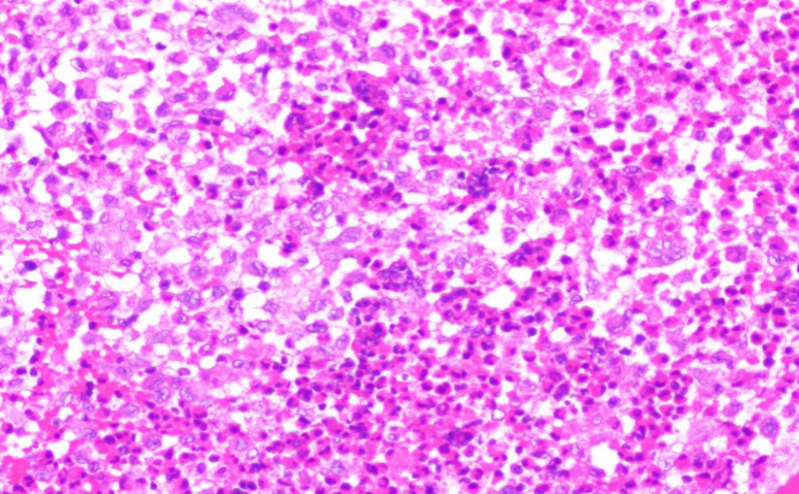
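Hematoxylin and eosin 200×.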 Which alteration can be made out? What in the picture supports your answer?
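Numerous small cells with dark, round or lobed nuclei lie between the large pale cells. Many of the small cells have bright pink cytoplasm. The small dark cells are crowded in bands through the middle and right of the field. On this evidence: mixed inflammatory cells.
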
